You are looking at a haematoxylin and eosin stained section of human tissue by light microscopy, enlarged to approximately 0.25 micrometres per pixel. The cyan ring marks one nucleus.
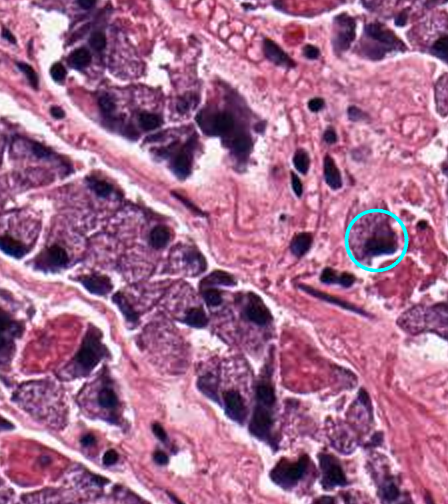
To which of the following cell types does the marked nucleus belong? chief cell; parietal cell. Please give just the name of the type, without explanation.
chief cell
